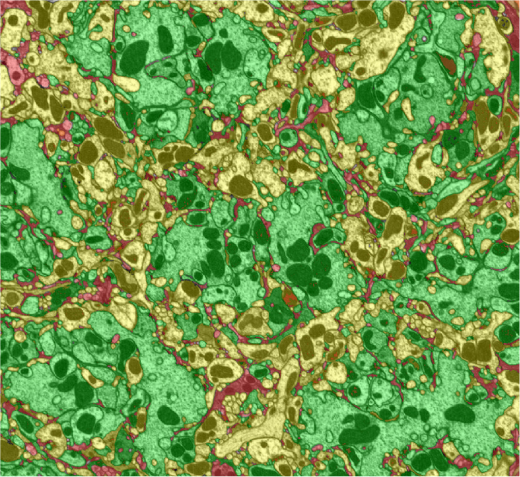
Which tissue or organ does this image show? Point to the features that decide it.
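The field is packed with profiles of neural processes of many sizes. No cell bodies with nuclei lie in the field. So: neuropil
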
